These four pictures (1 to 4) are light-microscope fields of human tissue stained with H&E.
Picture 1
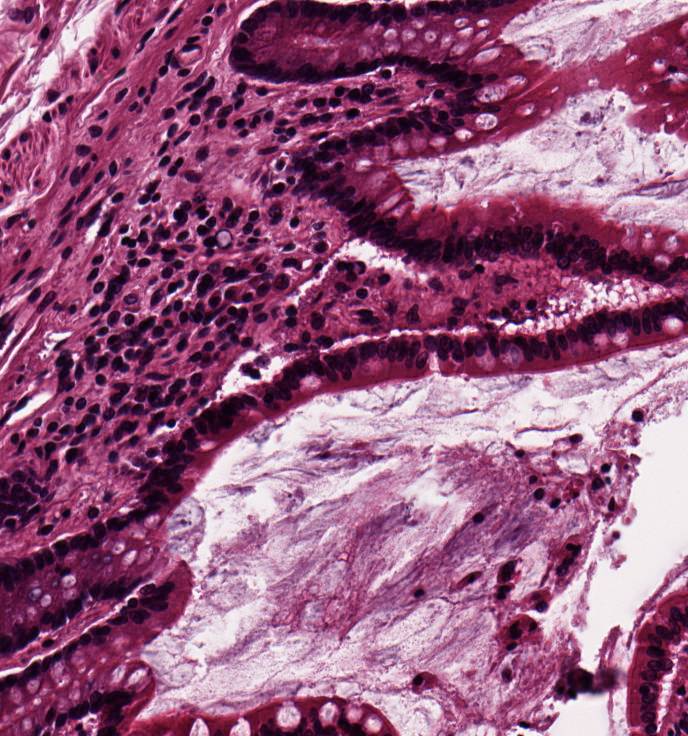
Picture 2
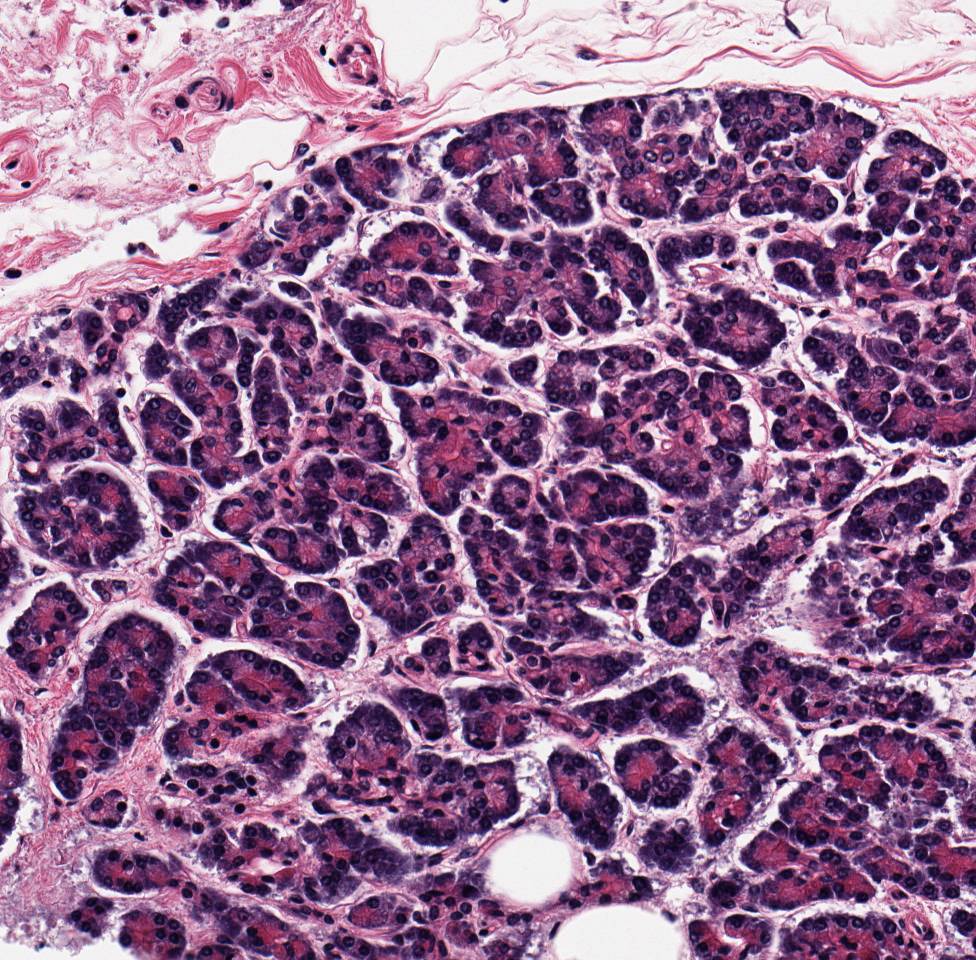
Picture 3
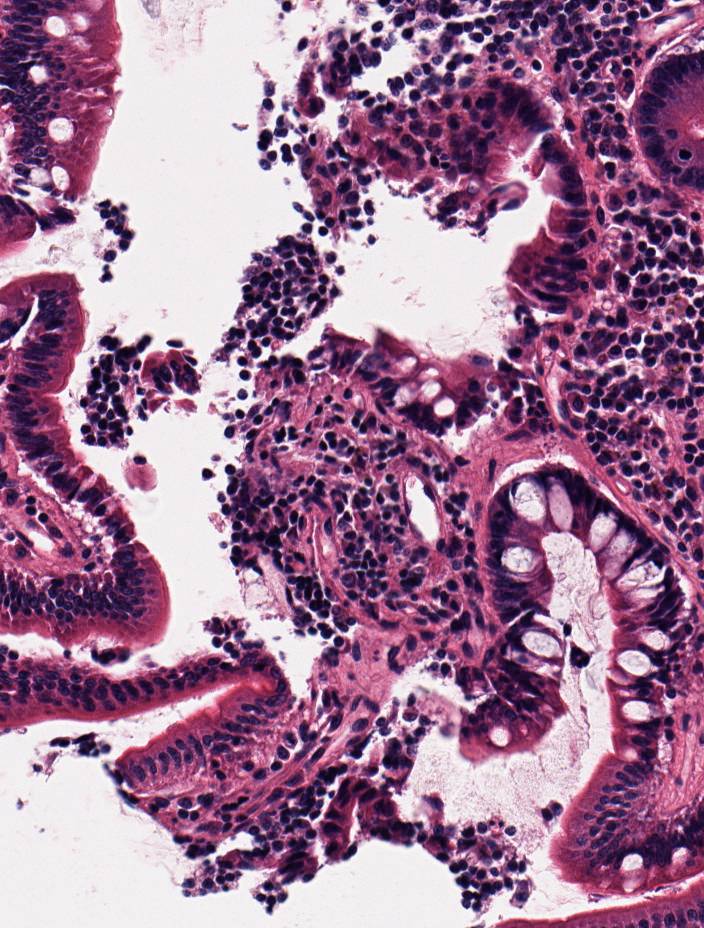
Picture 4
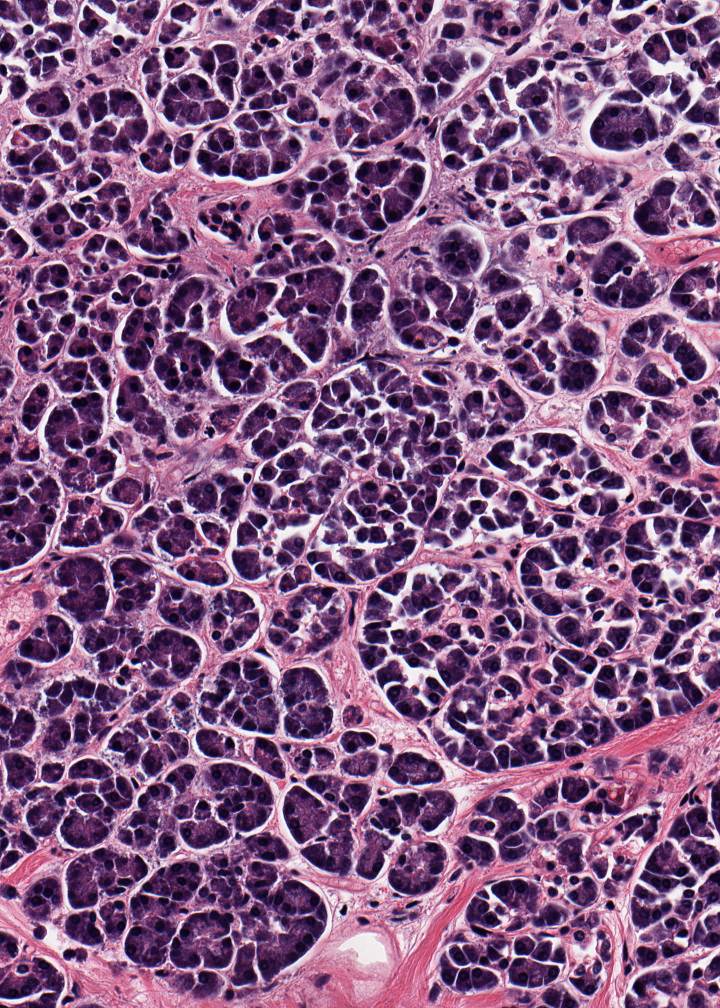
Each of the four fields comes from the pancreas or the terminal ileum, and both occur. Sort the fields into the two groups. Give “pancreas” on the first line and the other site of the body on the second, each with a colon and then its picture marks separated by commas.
pancreas: 2, 4
terminal ileum: 1, 3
